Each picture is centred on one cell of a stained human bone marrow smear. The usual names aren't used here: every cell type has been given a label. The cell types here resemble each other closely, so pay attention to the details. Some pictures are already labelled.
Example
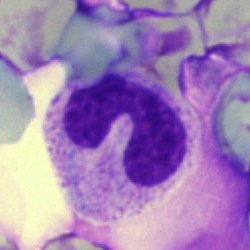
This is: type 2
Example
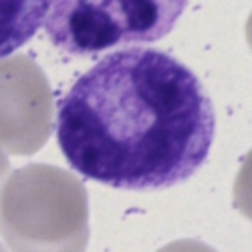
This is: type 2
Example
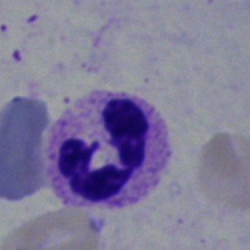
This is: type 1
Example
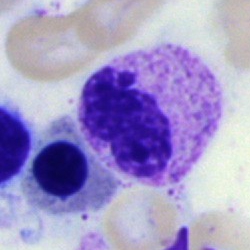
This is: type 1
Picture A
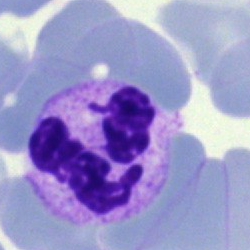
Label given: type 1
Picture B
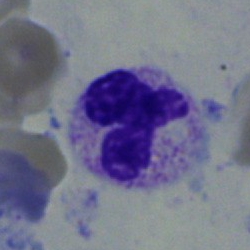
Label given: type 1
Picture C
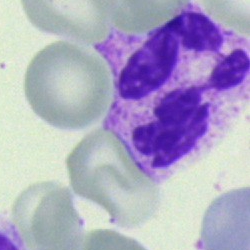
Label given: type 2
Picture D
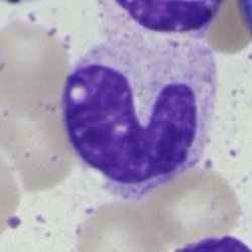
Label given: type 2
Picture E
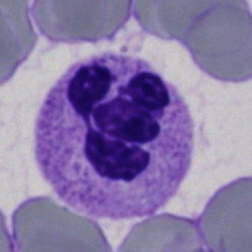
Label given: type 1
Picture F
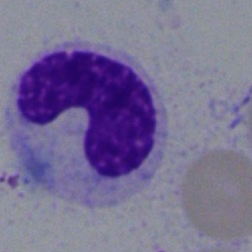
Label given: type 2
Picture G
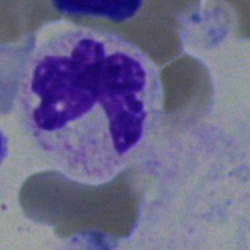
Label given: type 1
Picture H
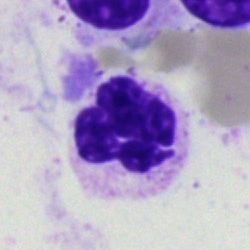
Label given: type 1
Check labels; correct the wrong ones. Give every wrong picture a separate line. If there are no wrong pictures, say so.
Wrong: C (type 2); correct: type 1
